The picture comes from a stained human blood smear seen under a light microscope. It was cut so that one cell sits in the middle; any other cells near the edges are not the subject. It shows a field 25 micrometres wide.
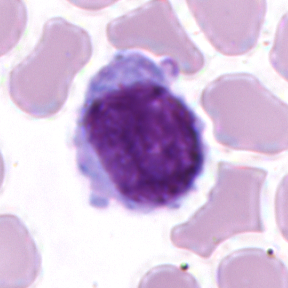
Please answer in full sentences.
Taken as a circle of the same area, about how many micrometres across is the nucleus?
The nucleus is about 10 micrometres across.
